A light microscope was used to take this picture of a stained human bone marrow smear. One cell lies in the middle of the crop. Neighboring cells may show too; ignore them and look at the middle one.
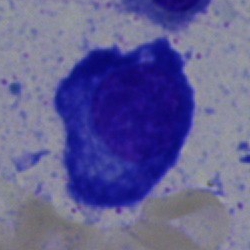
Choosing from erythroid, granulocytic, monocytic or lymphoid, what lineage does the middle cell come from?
lymphoid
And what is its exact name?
plasma cell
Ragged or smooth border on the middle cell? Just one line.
Irregularity marks the cell border, whether as raggedness or as projections.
